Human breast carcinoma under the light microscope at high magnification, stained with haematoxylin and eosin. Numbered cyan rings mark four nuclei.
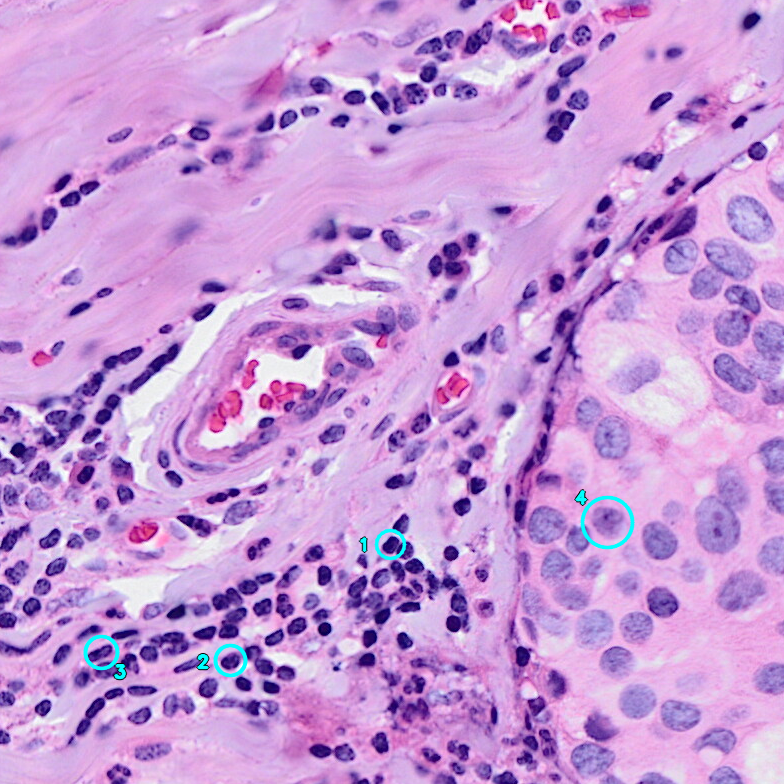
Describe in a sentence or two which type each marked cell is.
Cell 1 is a lymphocyte, cell 2 is a lymphocyte, cell 3 is a lymphocyte and cell 4 is a carcinoma cell.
